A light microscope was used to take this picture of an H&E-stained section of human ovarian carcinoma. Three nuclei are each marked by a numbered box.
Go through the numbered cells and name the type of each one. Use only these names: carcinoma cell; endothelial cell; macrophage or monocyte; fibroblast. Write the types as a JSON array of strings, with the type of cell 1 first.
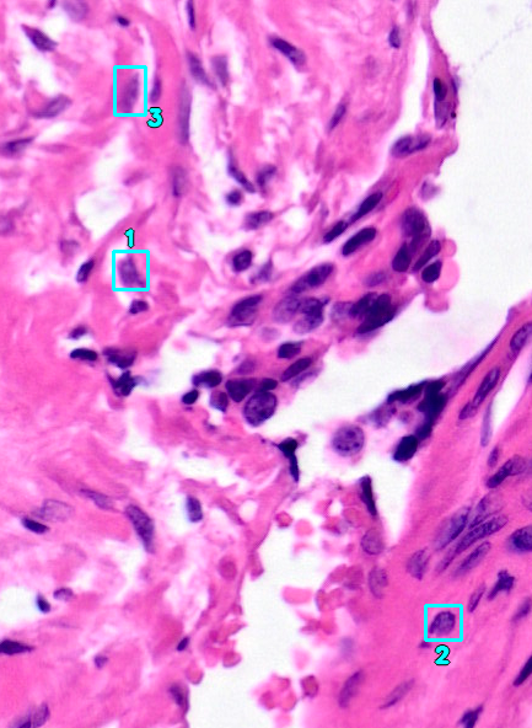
["fibroblast", "macrophage or monocyte", "fibroblast"]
